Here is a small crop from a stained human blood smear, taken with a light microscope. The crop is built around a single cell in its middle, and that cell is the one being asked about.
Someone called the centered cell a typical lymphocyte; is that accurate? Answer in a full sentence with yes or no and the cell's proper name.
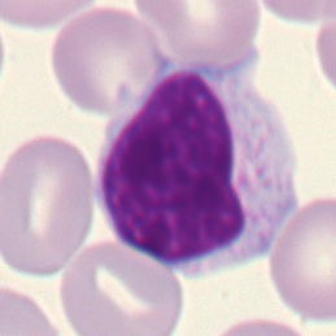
No, the identification should read a large granular lymphocyte, not a typical lymphocyte, for the central cell.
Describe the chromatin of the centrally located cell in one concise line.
Answer: the chromatin in this nucleus is coarsely clumped.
